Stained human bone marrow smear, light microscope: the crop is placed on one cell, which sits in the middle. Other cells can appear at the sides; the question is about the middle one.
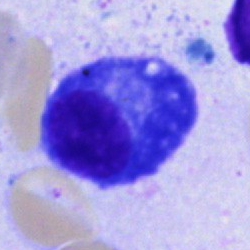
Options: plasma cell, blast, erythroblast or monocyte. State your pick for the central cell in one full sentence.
The cell occupying the middle of the crop is a plasma cell.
